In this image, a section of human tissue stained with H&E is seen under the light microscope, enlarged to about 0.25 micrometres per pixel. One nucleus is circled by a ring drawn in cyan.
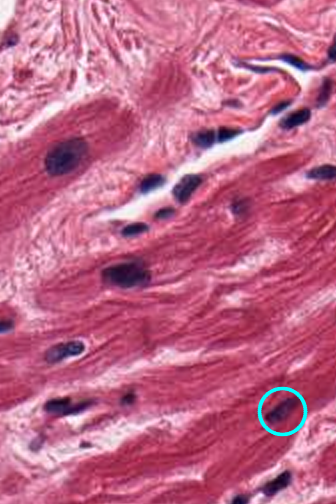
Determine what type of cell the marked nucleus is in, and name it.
cardiomyocyte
